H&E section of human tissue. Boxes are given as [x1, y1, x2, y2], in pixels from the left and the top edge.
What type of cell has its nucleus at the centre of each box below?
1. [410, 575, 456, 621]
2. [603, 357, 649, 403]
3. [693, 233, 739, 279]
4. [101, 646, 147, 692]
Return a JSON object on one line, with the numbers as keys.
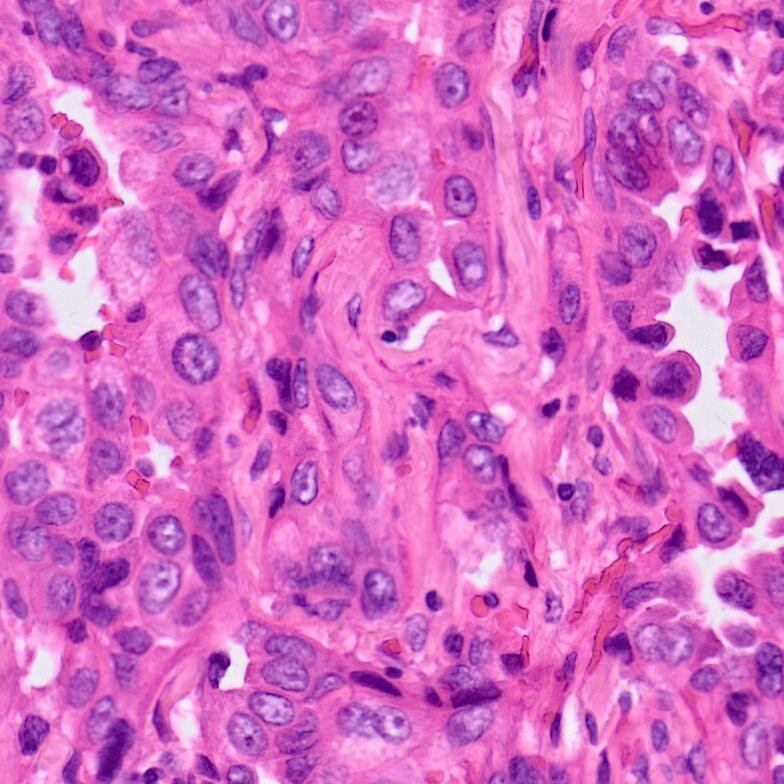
{"1": "lymphocyte", "2": "carcinoma cell", "3": "carcinoma cell", "4": "carcinoma cell"}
